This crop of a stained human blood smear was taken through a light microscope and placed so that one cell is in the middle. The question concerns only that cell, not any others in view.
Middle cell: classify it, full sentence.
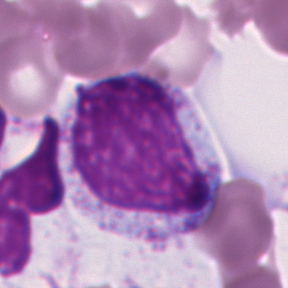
The cell at the heart of this crop is a myelocyte.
